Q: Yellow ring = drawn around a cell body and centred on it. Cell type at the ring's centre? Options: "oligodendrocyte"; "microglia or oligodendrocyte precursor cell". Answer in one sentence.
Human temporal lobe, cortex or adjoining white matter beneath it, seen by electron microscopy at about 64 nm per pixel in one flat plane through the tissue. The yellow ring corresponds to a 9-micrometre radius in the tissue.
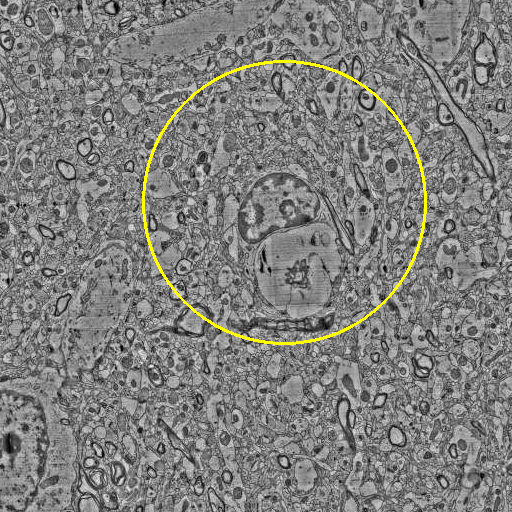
Centred in the ring is a microglial cell or oligodendrocyte precursor cell.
